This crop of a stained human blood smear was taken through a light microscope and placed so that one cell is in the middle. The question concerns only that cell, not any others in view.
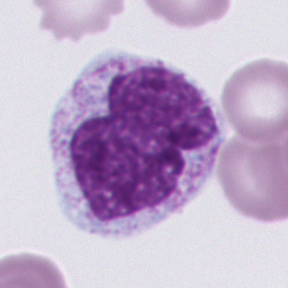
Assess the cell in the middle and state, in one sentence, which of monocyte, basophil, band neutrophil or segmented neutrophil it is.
The cell at the central position in this crop is a band neutrophil.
